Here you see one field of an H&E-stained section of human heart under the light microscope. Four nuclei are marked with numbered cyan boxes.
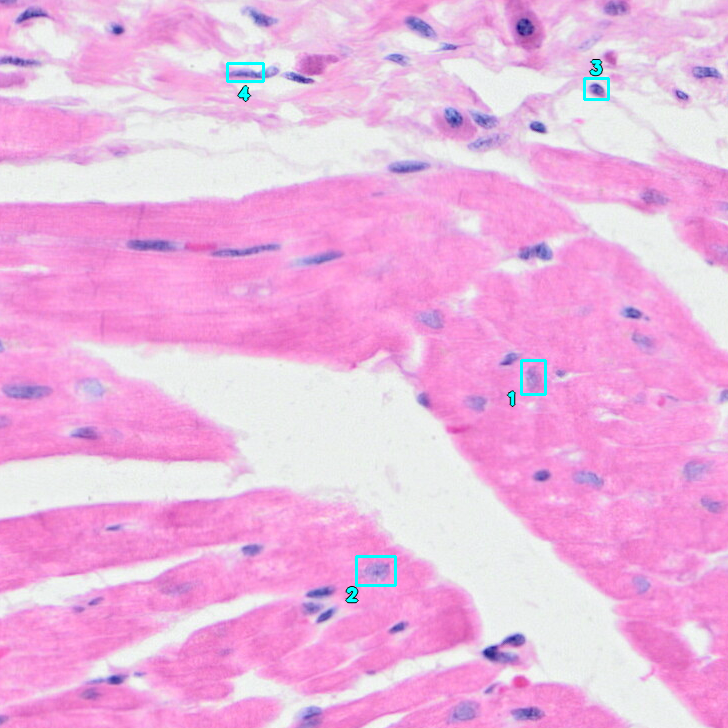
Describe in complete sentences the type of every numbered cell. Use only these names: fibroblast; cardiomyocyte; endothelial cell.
Cells 1 and 2 are cardiomyocytes. Cells 3 and 4 are fibroblasts.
